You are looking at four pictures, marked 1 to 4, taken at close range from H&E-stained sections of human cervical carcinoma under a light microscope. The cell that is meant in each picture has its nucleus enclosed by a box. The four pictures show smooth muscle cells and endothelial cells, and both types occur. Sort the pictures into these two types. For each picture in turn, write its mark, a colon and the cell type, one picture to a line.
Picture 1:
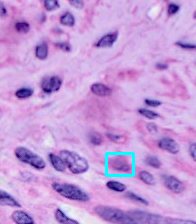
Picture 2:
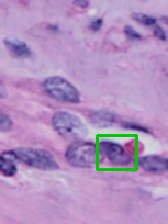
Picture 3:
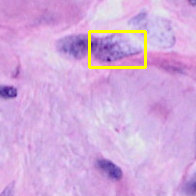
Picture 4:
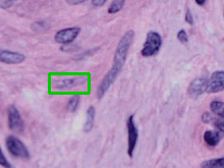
1: smooth muscle cell
2: endothelial cell
3: endothelial cell
4: smooth muscle cell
